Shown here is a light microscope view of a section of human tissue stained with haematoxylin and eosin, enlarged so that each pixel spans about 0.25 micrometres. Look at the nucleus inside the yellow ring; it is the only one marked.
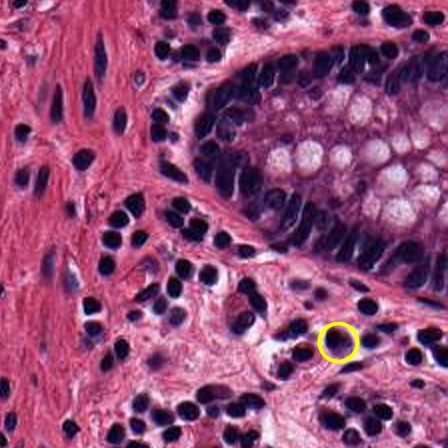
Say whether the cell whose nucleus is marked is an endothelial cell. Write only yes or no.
no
